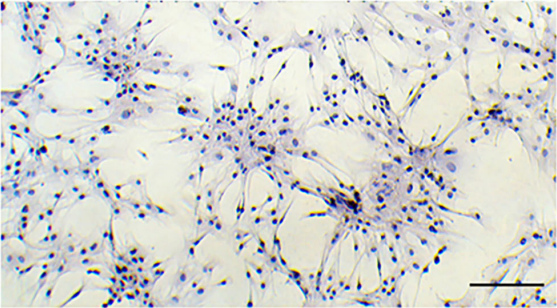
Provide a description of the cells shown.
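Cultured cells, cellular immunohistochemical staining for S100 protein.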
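Cells are partly scattered singly and partly gathered into star-like clusters, from whose centres slender processes radiate and connect to neighbouring cells and clusters. Between the cells lie large clear areas of unoccupied substrate. Most cell bodies are spindle-shaped or bipolar, and a few darker, denser spots are seen within the clusters.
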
